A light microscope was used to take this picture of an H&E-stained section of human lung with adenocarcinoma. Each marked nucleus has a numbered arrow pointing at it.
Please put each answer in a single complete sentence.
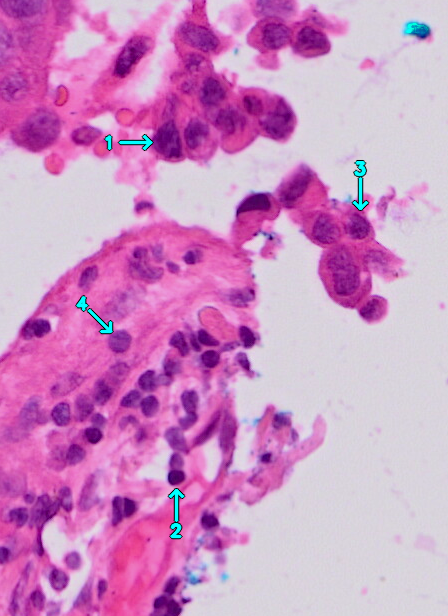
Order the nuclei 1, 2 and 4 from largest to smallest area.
From largest to smallest, the order is 1, 4, 2.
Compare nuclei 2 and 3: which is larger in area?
The larger nucleus is 3, at roughly 2 times the area of 2.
